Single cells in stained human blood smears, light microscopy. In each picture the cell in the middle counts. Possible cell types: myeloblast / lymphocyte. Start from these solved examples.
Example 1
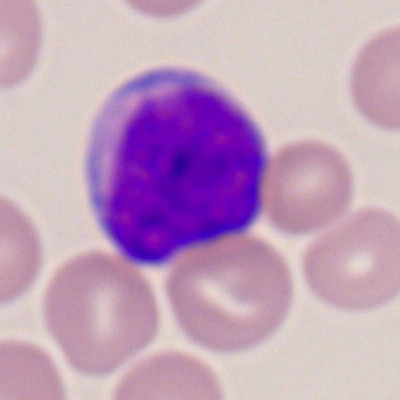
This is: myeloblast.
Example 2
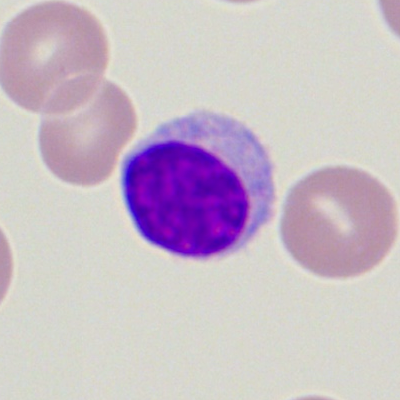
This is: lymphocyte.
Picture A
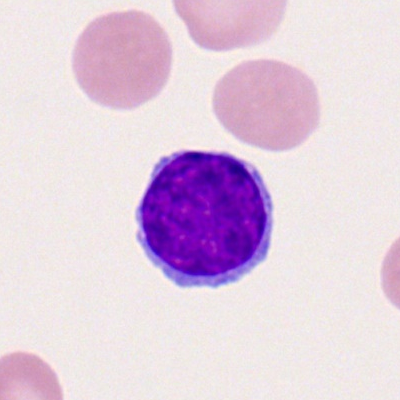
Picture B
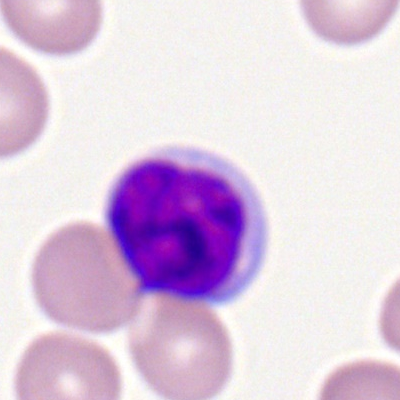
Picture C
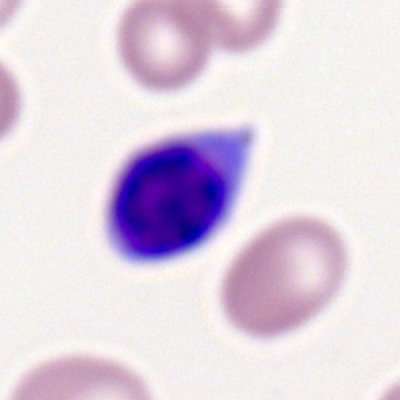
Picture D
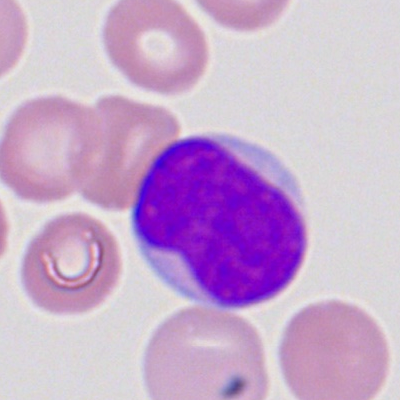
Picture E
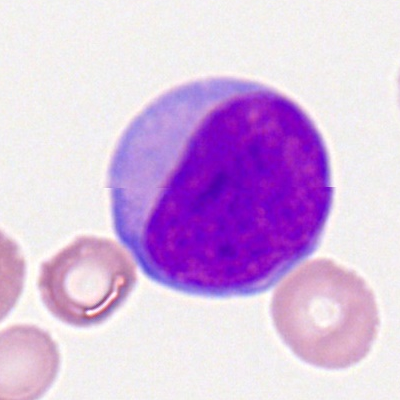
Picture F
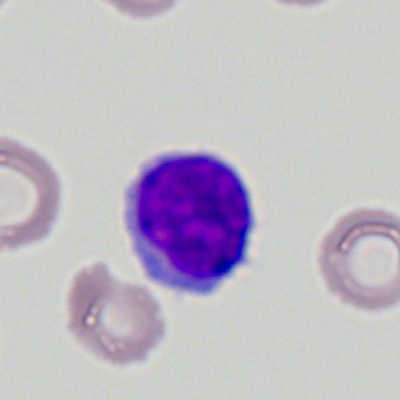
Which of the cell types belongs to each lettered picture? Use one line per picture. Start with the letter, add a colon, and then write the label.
A: lymphocyte.
B: lymphocyte.
C: lymphocyte.
D: lymphocyte.
E: myeloblast.
F: lymphocyte.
